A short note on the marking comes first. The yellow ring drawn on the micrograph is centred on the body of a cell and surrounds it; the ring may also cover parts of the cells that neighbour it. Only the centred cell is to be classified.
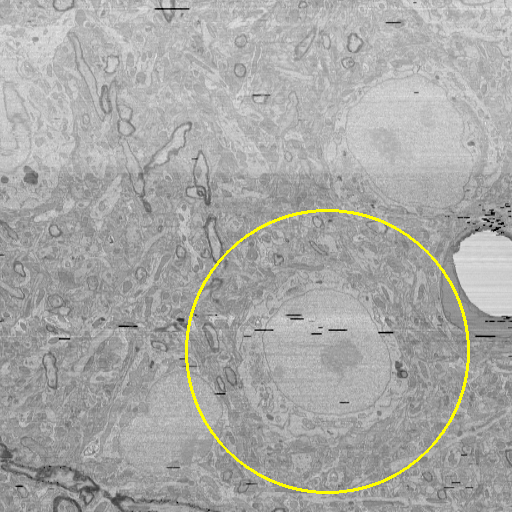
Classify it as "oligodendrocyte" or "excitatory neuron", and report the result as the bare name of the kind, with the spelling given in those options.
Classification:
excitatory neuron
